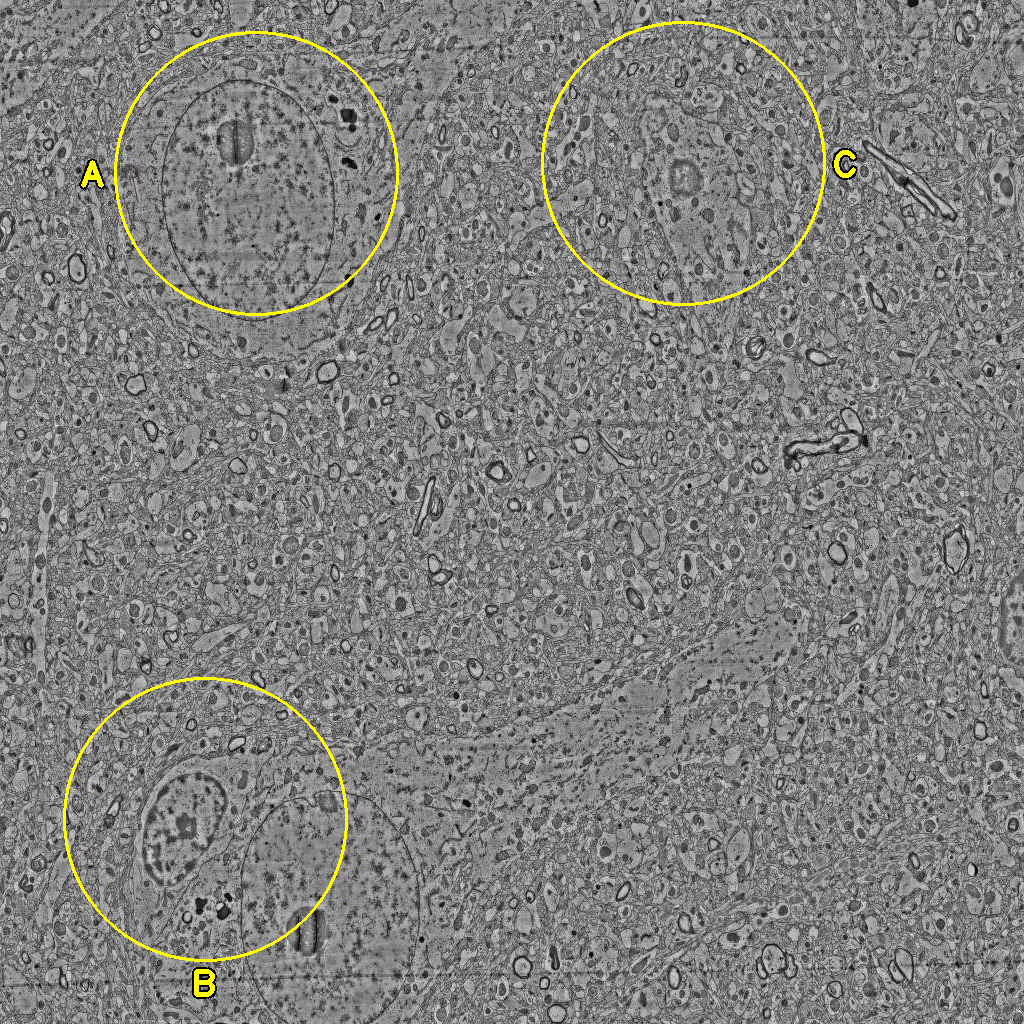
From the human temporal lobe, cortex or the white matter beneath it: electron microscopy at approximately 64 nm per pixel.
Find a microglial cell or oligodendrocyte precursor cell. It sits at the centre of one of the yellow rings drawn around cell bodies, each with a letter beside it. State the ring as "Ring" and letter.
Ring B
